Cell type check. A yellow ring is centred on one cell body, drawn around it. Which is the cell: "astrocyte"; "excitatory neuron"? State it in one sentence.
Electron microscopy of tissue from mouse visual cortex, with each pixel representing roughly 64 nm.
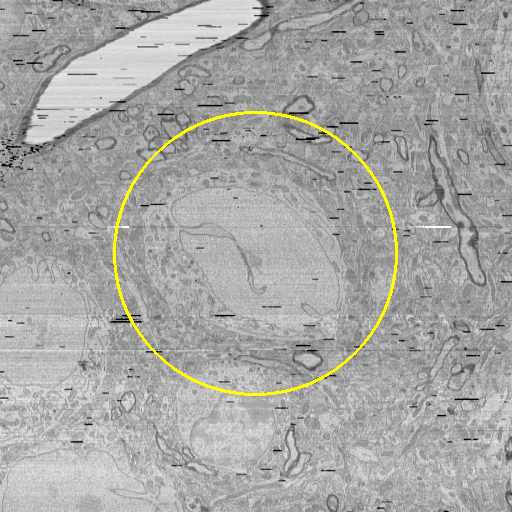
The cell body at the ring's centre belongs to an excitatory neuron.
